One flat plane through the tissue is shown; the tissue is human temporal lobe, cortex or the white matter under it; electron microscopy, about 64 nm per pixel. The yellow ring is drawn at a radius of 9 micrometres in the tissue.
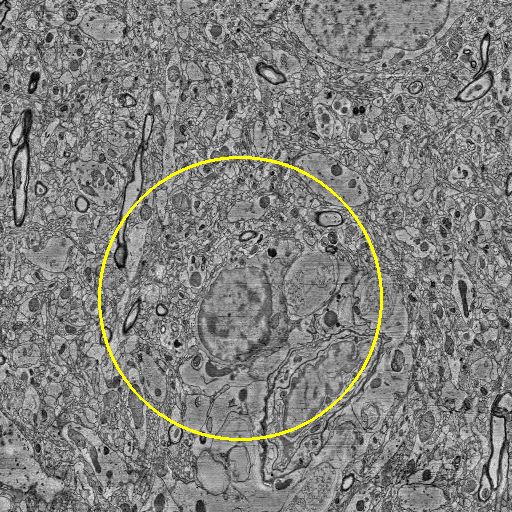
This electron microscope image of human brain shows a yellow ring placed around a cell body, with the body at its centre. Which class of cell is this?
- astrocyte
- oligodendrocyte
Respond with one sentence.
The cell body at the ring's centre is an oligodendrocyte.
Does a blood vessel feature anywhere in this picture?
Yes, one appears.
